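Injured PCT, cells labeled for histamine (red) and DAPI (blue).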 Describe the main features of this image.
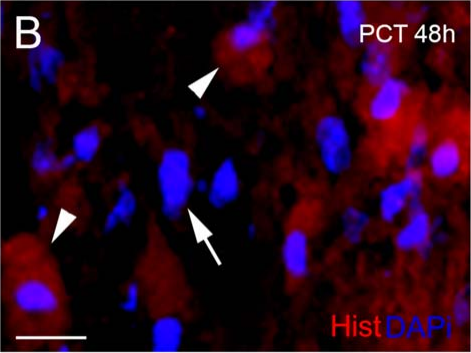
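A crowded field of tissue in which two kinds of cells can be told apart. The red stain also fills a diffuse, streaky background between the cells. The nuclei vary in size and orientation, and the elongated ones lie scattered among the rounded red cells without any obvious layering.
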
